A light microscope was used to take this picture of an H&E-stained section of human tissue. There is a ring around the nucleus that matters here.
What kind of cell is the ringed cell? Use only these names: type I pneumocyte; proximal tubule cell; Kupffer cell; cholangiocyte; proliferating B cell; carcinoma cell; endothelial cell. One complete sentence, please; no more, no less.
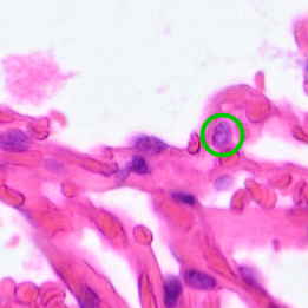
Assigned to a cell type, the ringed cell is a type I pneumocyte.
